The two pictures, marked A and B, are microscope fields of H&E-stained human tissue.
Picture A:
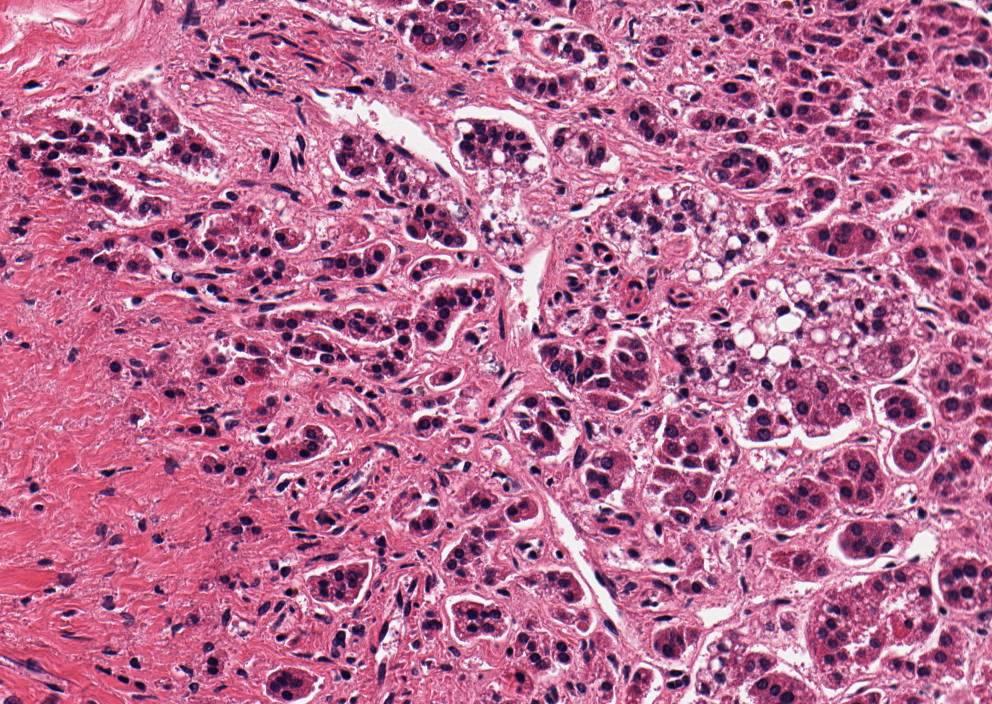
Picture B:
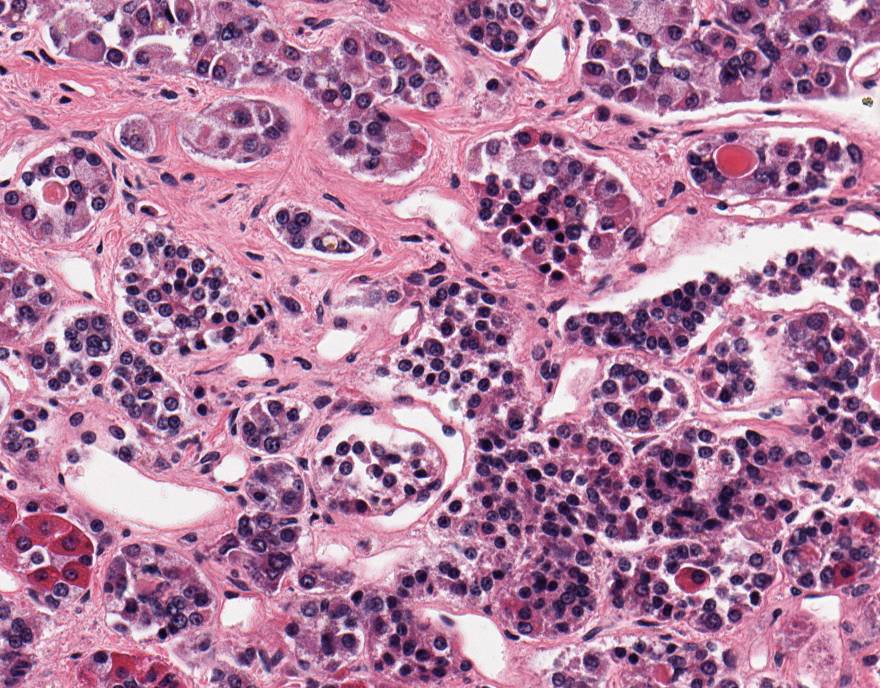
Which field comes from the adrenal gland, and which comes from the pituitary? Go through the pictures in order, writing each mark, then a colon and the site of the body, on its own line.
A: adrenal gland
B: pituitary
